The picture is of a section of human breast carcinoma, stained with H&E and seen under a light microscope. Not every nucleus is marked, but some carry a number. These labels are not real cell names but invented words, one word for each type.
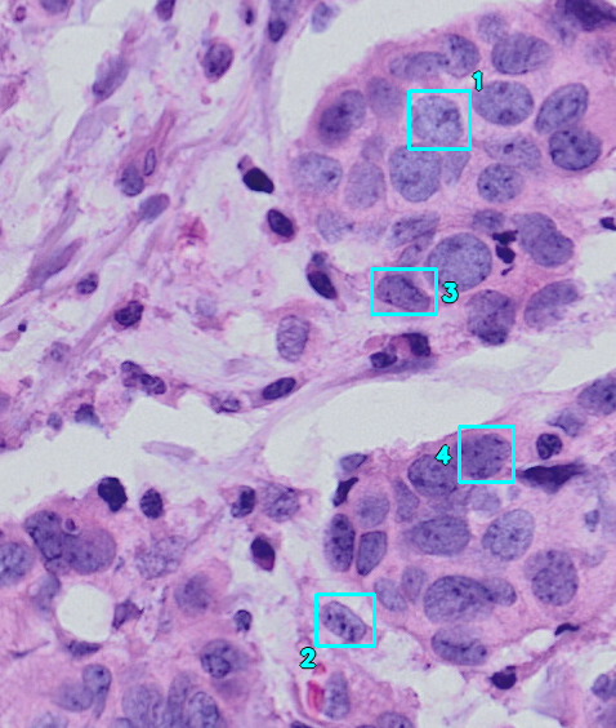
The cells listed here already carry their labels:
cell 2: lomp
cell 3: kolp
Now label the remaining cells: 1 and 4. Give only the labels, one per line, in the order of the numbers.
kolp
kolp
